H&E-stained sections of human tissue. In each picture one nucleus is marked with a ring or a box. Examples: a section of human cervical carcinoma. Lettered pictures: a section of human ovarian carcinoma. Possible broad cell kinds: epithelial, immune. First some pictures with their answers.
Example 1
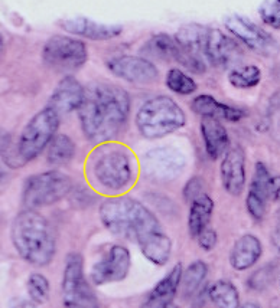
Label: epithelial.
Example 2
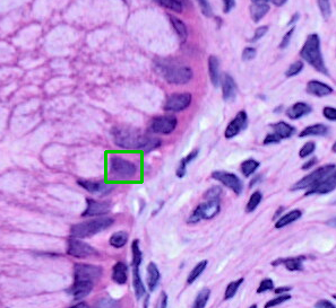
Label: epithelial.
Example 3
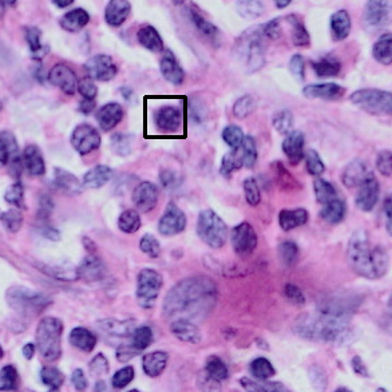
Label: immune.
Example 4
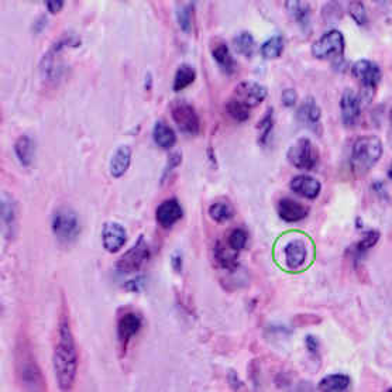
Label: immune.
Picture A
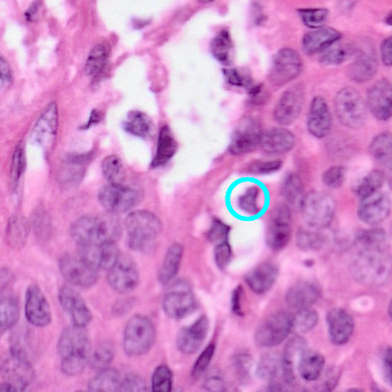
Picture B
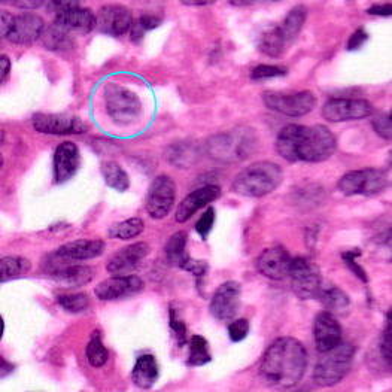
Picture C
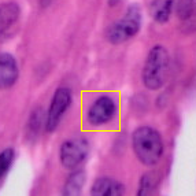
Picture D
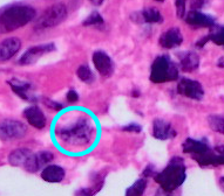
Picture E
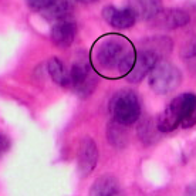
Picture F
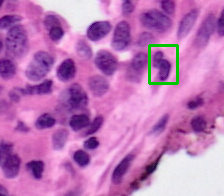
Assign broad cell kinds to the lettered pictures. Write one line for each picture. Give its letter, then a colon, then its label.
A: immune.
B: immune.
C: immune.
D: immune.
E: epithelial.
F: immune.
